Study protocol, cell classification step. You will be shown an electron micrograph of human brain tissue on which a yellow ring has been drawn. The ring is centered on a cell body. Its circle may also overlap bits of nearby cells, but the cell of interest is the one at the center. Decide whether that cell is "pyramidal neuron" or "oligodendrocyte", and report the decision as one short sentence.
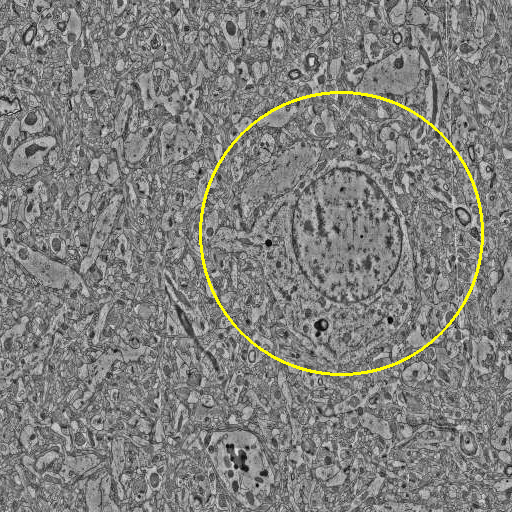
The marked cell is a pyramidal neuron.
